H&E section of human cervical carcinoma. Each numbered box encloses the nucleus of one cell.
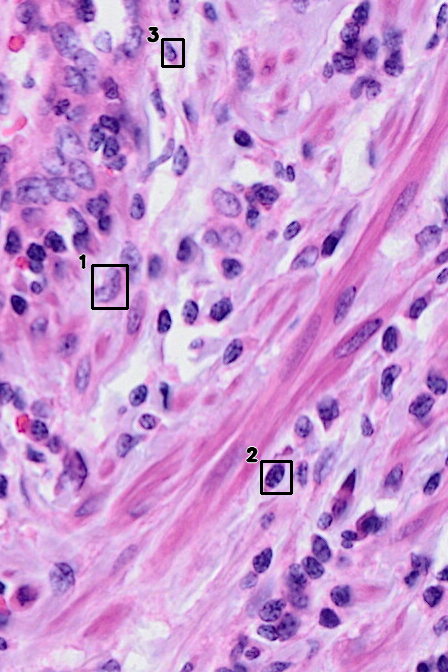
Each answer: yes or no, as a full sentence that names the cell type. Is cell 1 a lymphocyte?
No, the cell that carries number 1 is a macrophage or monocyte, not a lymphocyte.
